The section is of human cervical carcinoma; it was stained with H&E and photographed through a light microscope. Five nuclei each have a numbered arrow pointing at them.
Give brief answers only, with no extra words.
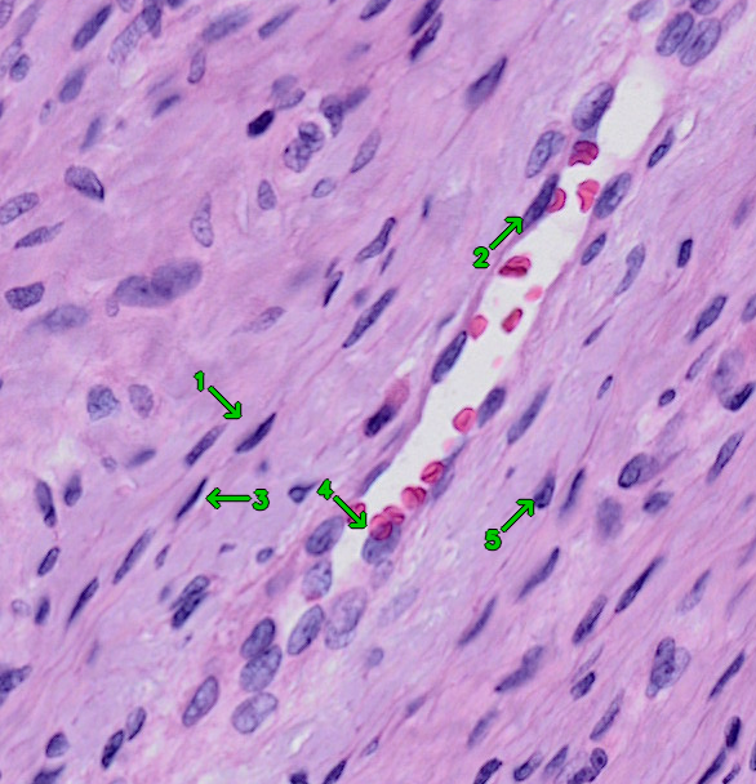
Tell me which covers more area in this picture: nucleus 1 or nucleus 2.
2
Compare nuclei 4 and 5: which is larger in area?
4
